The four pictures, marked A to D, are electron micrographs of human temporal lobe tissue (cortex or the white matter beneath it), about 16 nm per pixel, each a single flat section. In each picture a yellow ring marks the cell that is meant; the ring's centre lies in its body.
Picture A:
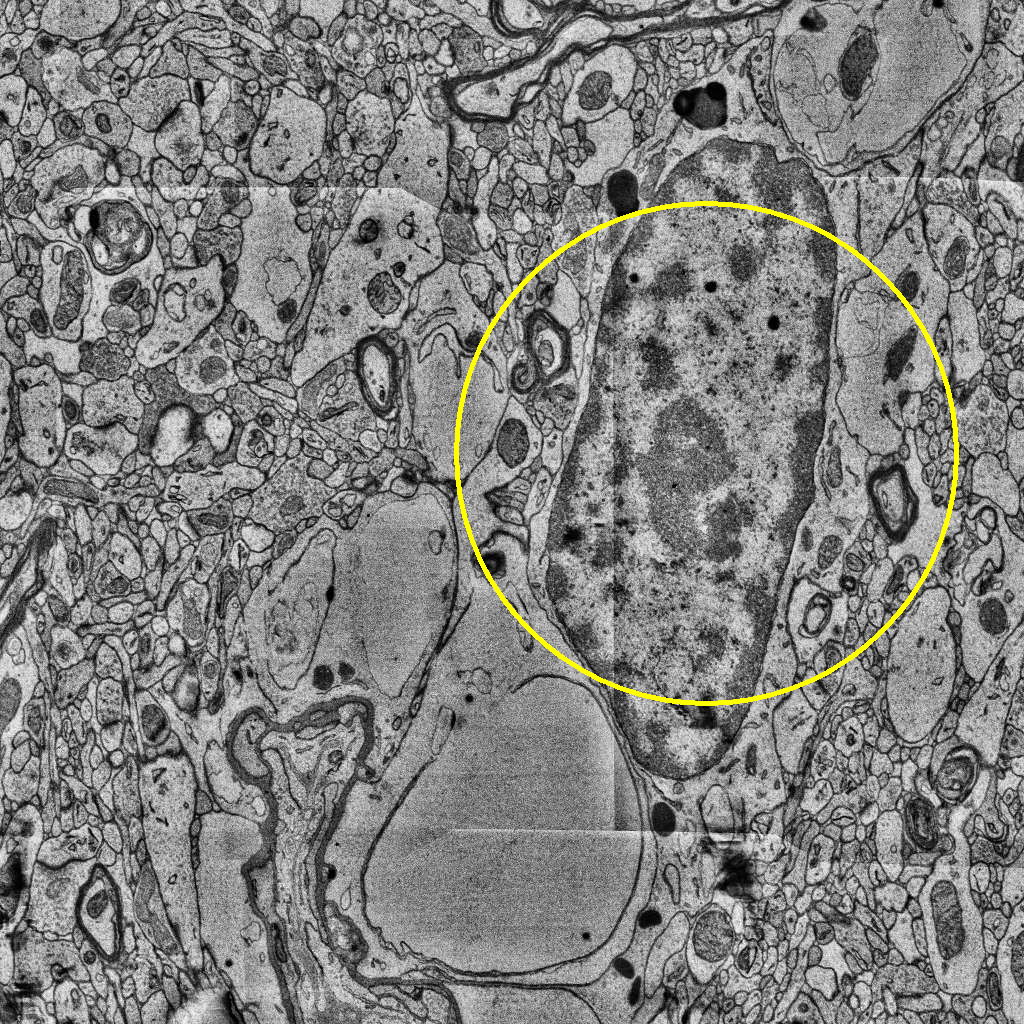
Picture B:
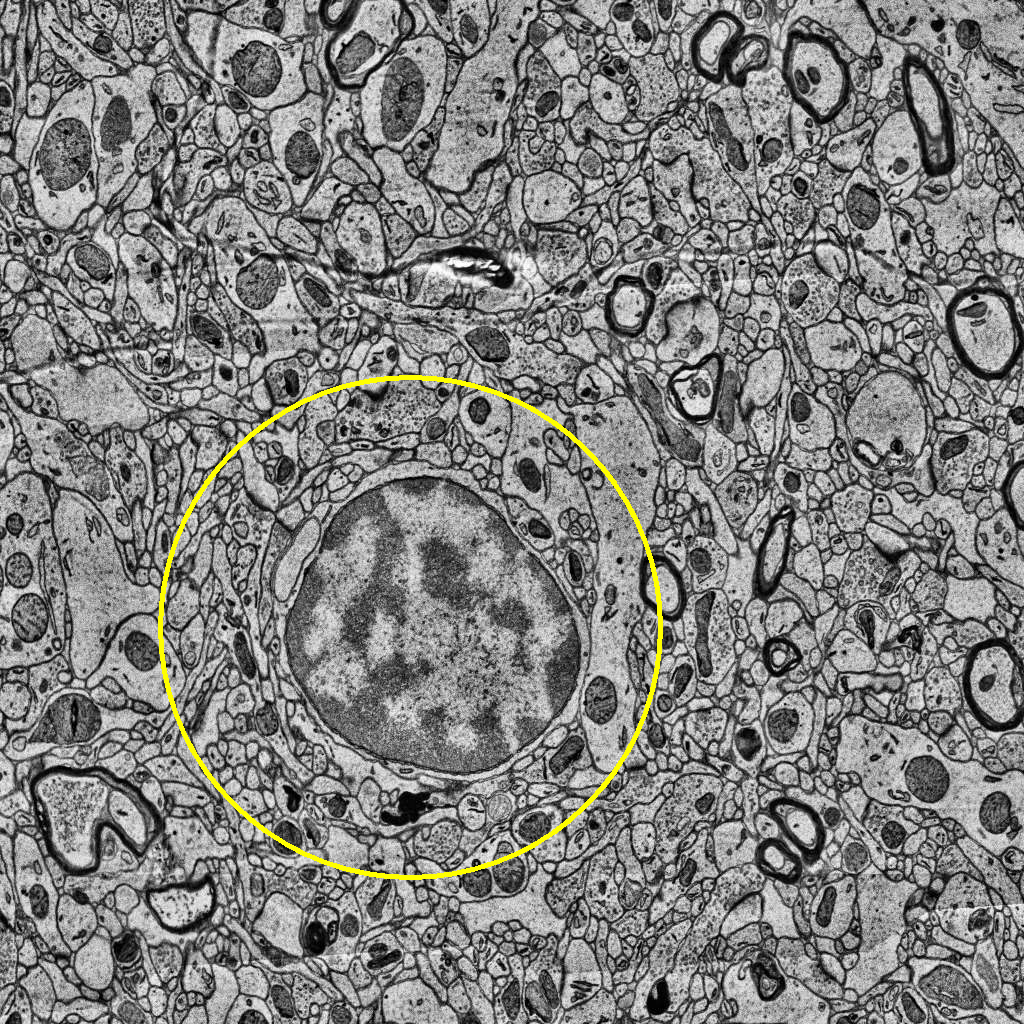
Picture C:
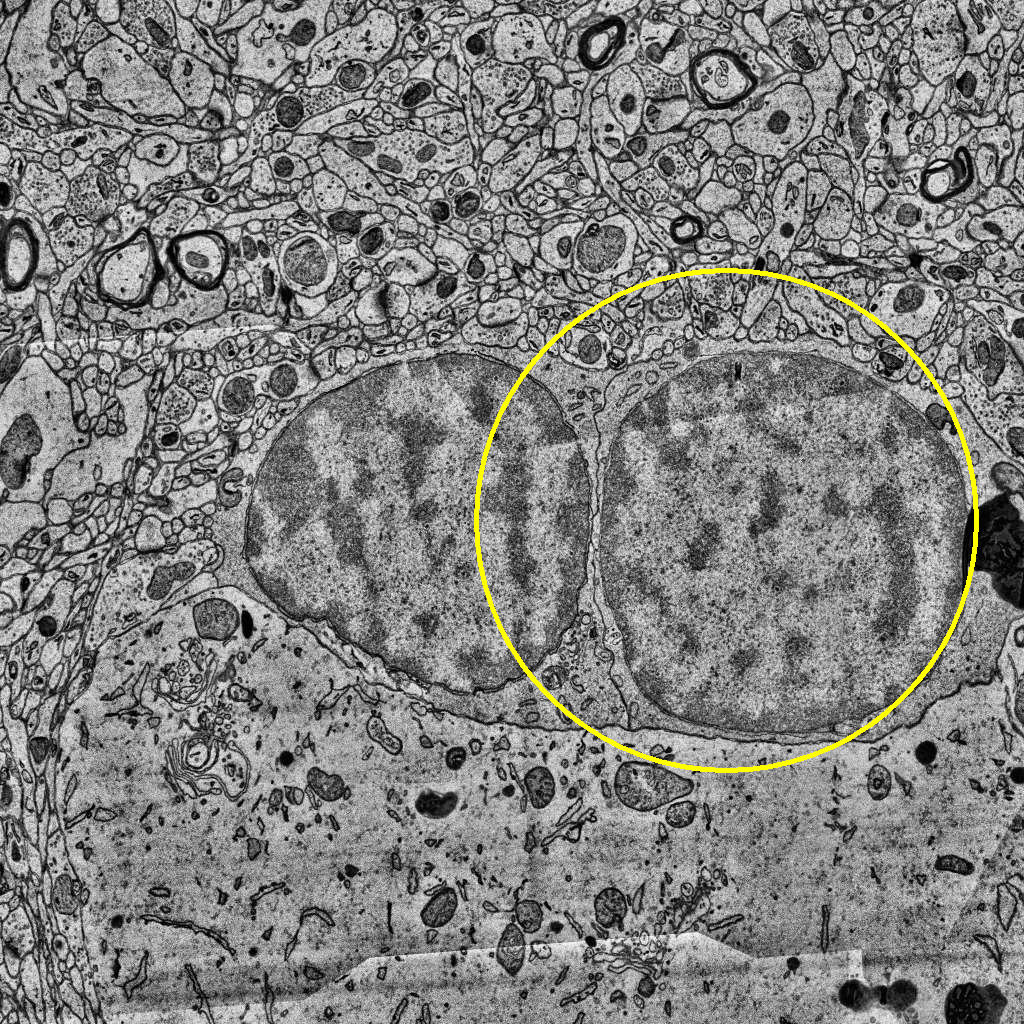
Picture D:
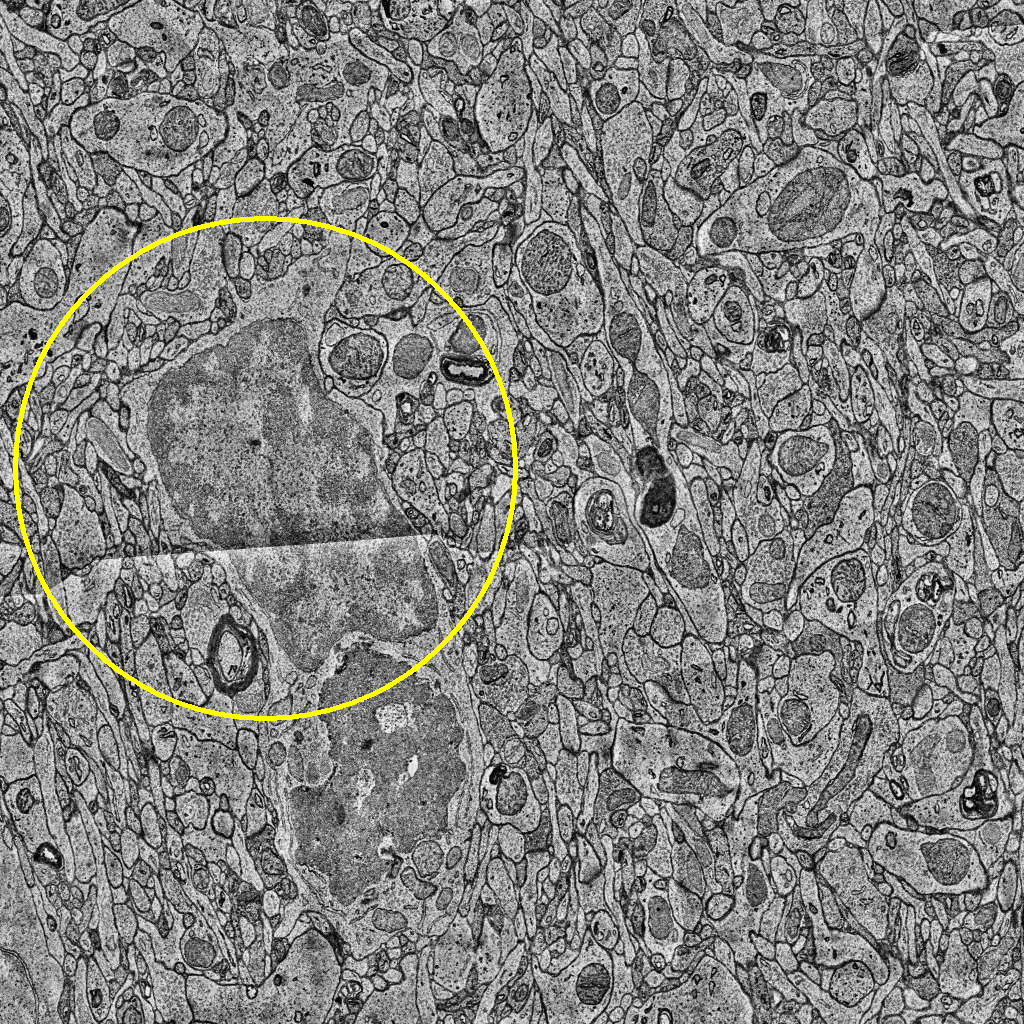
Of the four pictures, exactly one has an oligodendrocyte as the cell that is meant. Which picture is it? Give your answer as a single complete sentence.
The oligodendrocyte is the one in picture C.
